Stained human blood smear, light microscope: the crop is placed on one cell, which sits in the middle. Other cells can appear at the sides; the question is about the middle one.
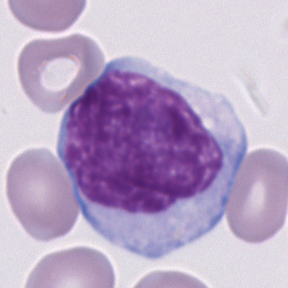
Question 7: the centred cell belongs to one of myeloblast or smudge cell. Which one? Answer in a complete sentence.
For this crop, the central cell is a myeloblast.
